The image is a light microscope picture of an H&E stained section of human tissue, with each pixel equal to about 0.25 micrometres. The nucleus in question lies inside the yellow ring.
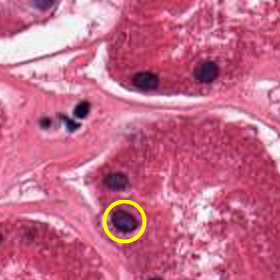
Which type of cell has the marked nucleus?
proximal tubule cell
